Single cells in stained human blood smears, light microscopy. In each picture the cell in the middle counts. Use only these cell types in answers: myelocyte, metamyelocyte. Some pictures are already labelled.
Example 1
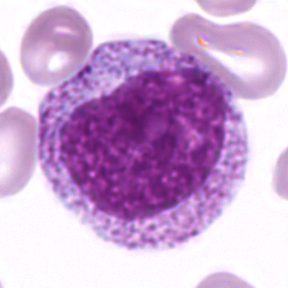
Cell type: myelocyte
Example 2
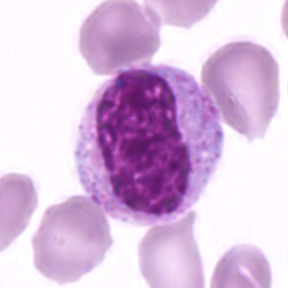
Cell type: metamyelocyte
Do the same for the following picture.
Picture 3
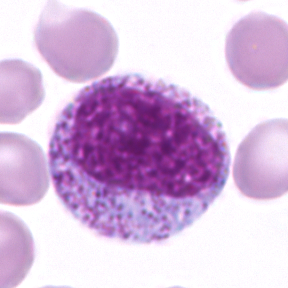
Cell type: myelocyte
